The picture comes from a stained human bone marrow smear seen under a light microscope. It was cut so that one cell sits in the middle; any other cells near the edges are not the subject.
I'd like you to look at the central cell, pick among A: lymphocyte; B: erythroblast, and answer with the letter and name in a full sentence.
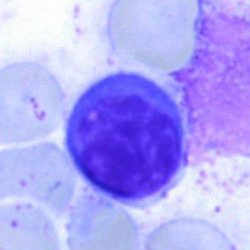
With the cell in the middle being a lymphocyte, option A is the correct choice.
